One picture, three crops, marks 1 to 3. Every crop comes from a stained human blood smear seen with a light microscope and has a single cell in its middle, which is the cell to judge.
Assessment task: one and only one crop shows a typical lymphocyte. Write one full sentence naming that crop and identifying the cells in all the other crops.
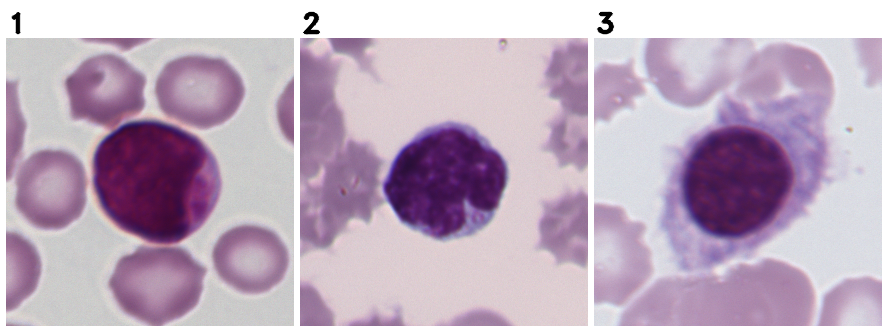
With respect to crop 2, the cell is a typical lymphocyte, whereas crop 1 is a myeloblast and crop 3 is a hairy cell.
